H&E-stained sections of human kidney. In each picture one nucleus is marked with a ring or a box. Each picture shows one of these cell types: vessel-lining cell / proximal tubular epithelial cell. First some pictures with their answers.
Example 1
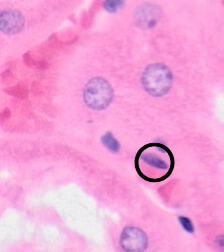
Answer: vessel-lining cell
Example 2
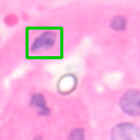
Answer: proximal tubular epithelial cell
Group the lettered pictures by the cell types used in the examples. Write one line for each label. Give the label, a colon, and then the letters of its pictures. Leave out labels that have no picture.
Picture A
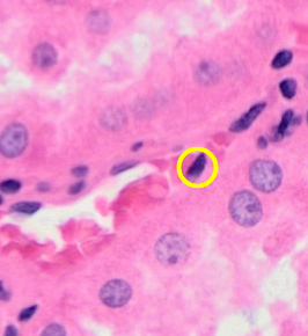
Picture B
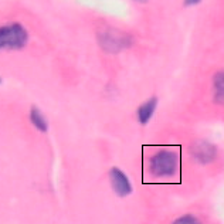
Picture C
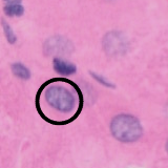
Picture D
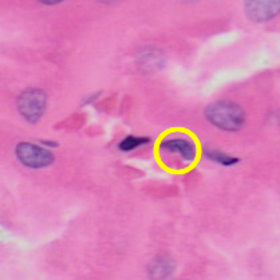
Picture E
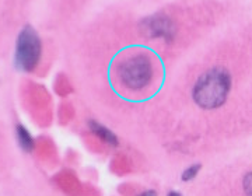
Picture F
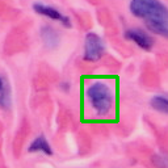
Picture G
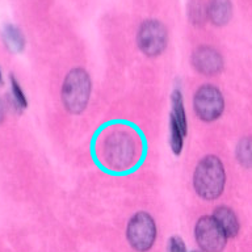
vessel-lining cell: A, D, F
proximal tubular epithelial cell: B, C, E, G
